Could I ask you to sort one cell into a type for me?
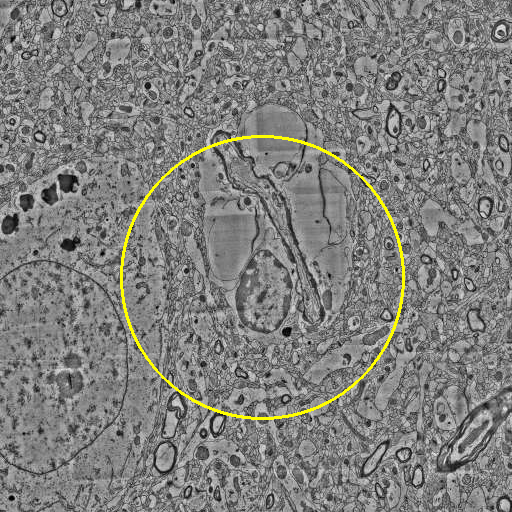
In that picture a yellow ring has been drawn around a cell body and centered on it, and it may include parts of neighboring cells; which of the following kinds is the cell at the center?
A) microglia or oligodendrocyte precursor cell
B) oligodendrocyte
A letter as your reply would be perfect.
A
